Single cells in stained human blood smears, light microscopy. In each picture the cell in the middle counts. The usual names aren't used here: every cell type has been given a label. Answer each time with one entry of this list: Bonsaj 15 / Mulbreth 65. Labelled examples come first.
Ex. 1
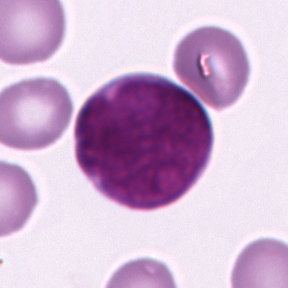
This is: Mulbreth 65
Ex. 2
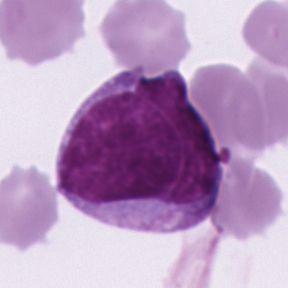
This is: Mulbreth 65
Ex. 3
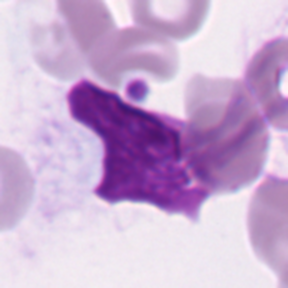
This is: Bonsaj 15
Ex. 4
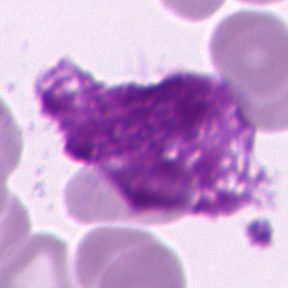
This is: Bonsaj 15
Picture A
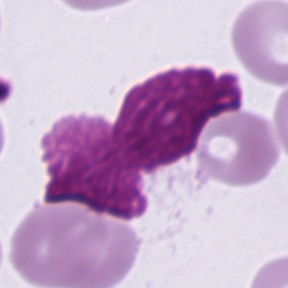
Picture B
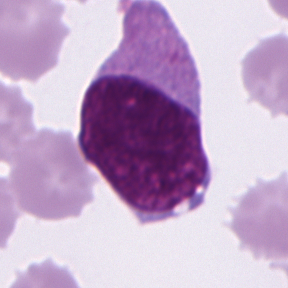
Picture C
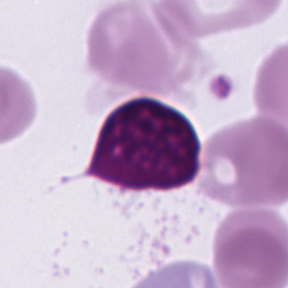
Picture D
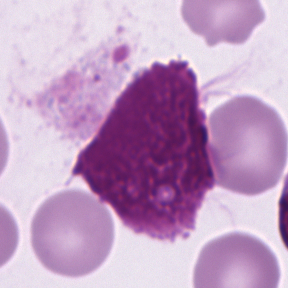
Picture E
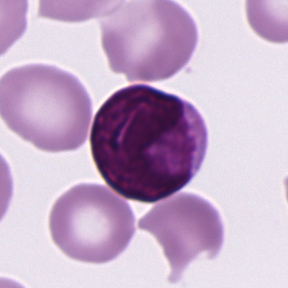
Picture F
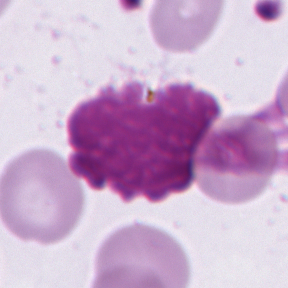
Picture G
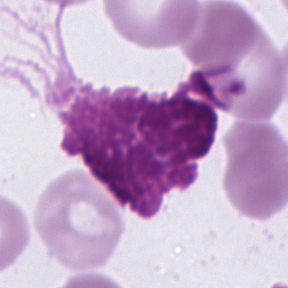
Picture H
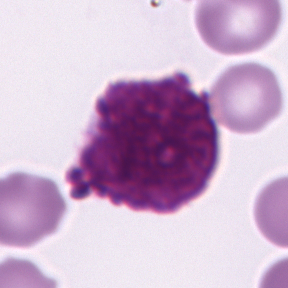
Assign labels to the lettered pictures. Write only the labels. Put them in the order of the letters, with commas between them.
Bonsaj 15, Mulbreth 65, Bonsaj 15, Bonsaj 15, Mulbreth 65, Bonsaj 15, Bonsaj 15, Bonsaj 15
